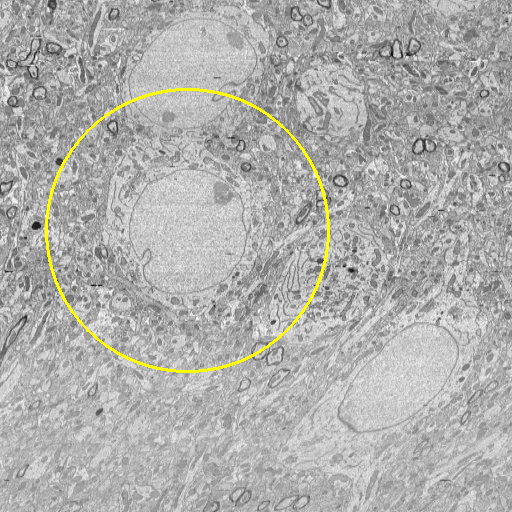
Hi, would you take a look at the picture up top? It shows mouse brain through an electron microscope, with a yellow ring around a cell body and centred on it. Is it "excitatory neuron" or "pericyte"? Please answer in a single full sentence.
The best fit for the cell in the middle of the ring is an excitatory neuron, I reckon.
